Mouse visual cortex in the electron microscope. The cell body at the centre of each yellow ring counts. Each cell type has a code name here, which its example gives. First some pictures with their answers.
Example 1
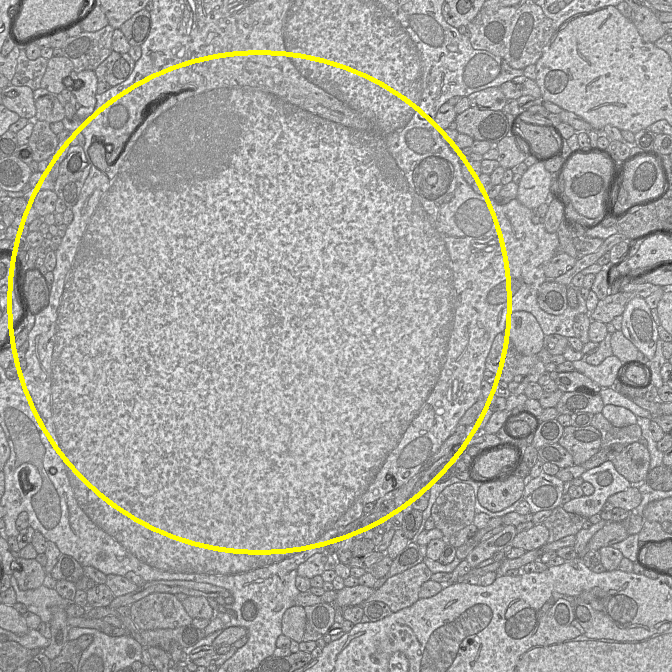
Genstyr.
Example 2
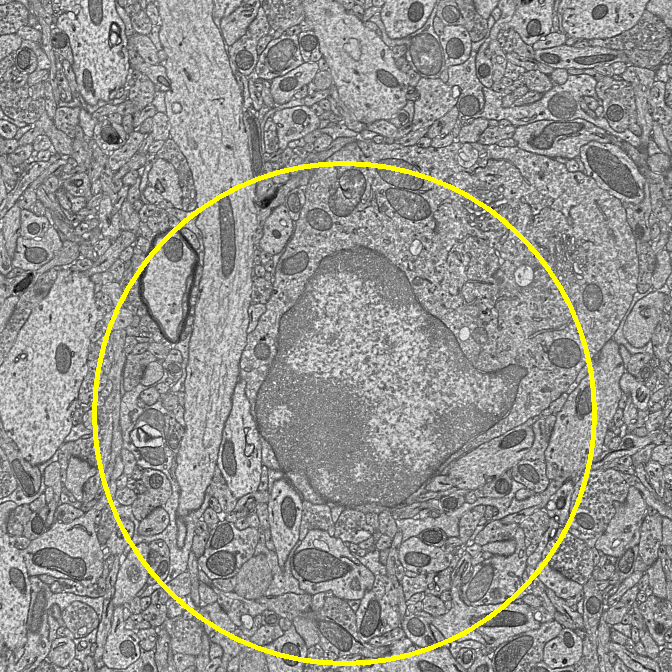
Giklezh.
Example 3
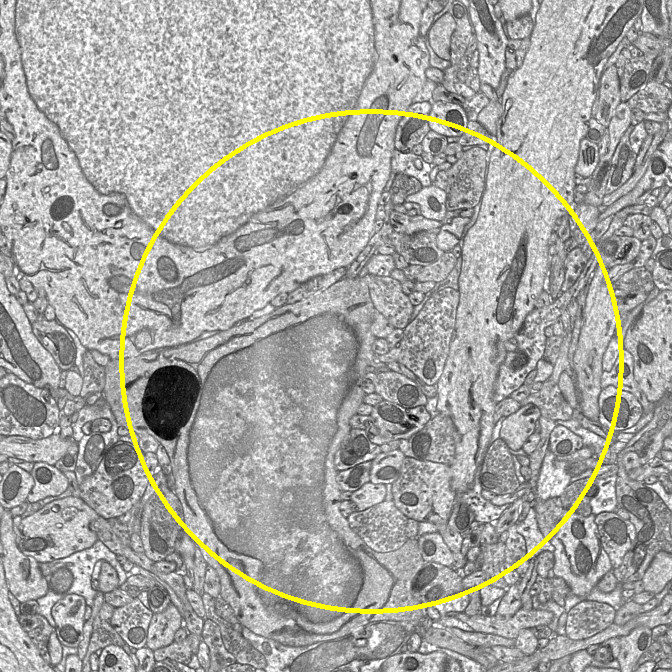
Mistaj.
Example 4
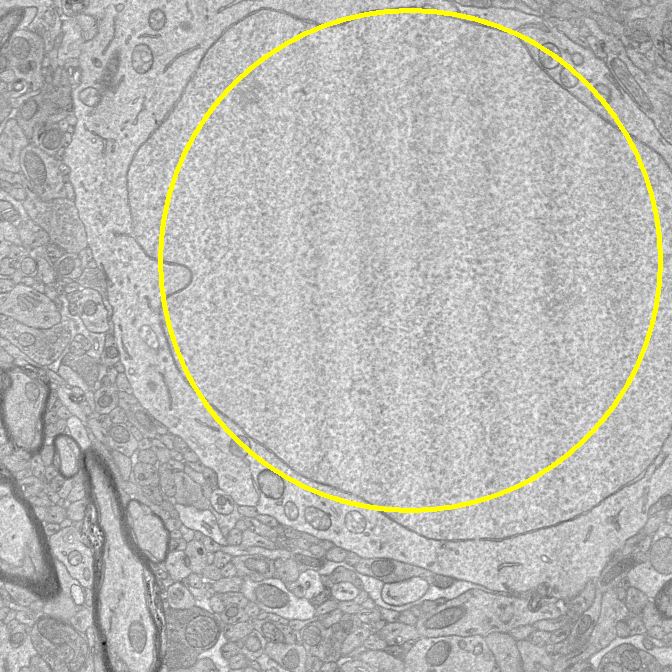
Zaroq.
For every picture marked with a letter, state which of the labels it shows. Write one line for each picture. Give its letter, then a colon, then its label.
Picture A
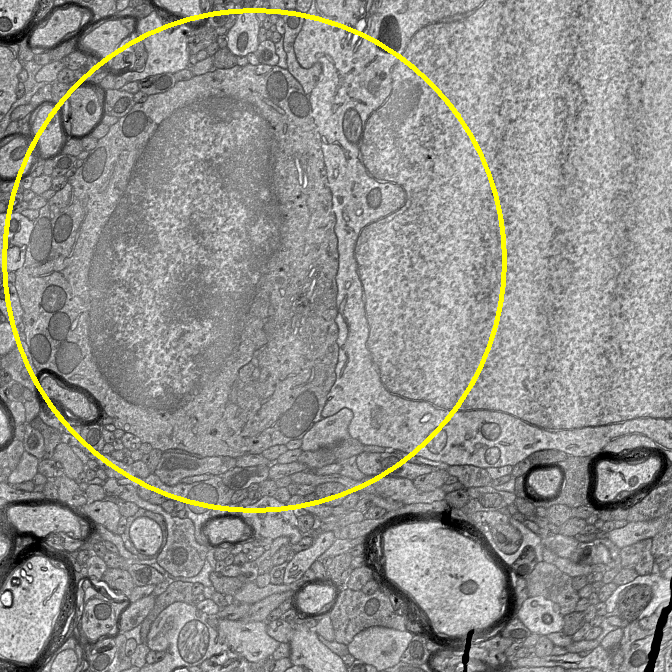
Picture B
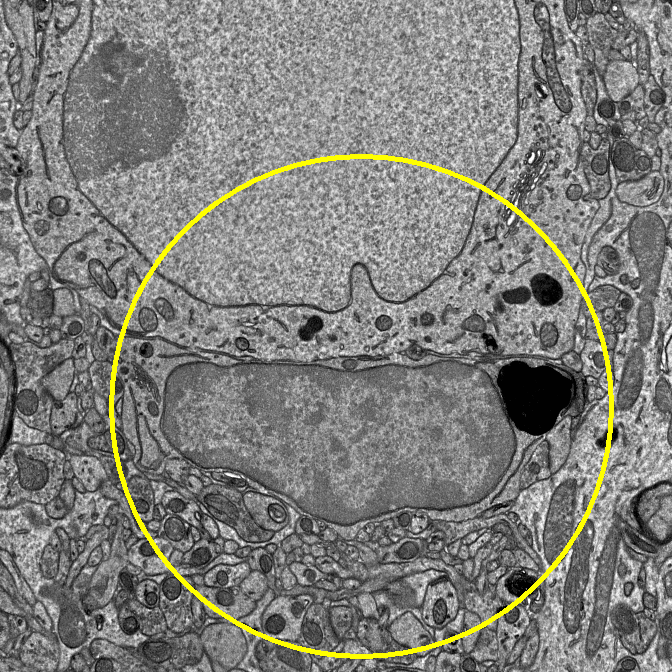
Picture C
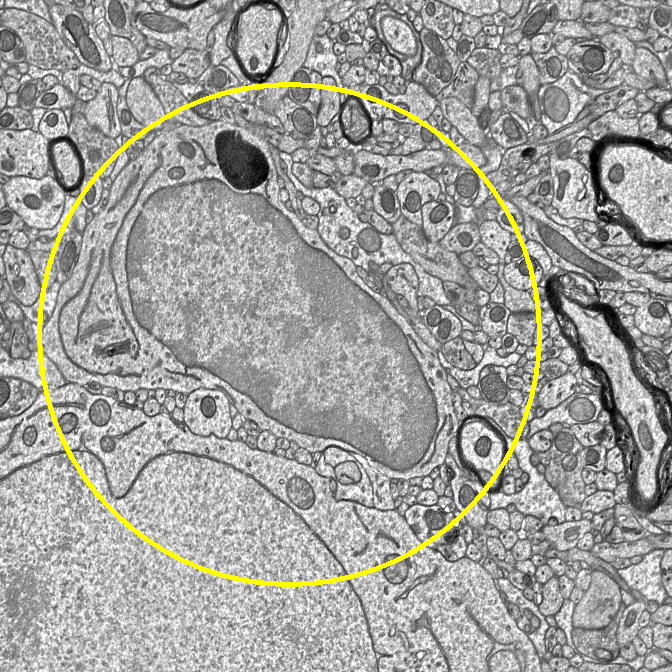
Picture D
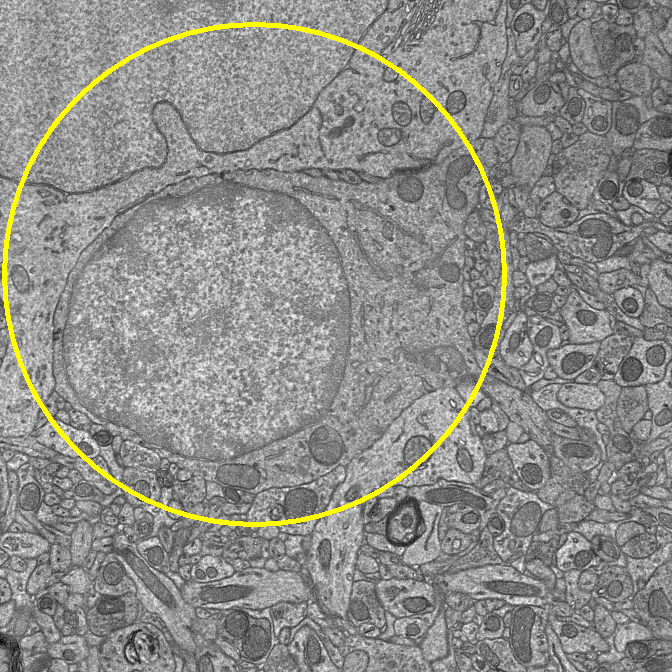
A: Giklezh.
B: Mistaj.
C: Mistaj.
D: Giklezh.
